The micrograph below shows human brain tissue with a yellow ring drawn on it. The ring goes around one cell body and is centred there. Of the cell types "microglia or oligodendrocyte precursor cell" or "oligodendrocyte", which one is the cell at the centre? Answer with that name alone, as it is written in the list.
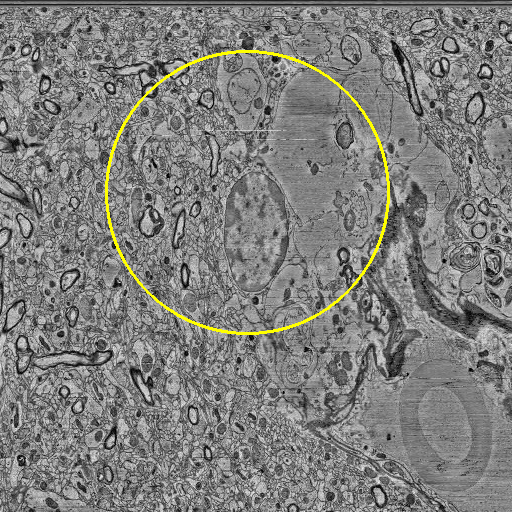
microglia or oligodendrocyte precursor cell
